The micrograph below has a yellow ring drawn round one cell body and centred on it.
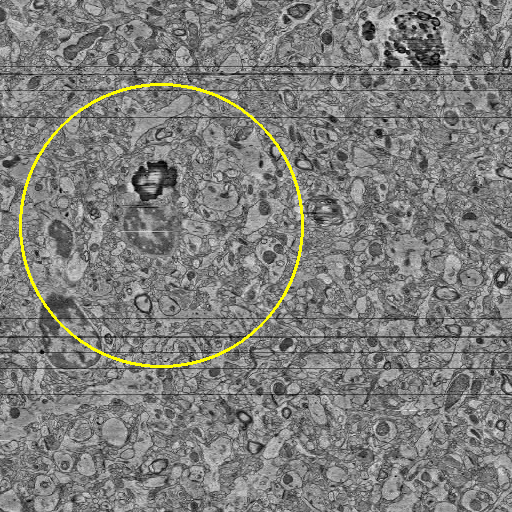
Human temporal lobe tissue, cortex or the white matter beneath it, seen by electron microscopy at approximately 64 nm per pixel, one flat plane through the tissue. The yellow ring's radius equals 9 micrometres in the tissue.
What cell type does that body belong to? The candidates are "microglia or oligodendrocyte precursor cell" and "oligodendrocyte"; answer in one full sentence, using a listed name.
This is an oligodendrocyte, the cell whose body lies at the centre of the ring.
